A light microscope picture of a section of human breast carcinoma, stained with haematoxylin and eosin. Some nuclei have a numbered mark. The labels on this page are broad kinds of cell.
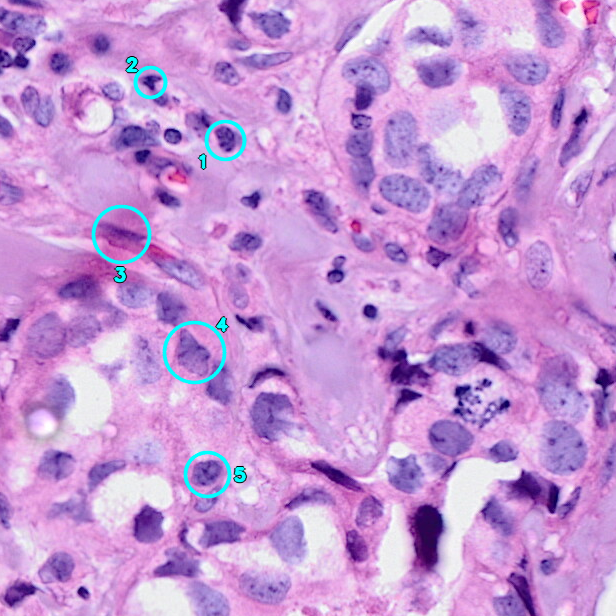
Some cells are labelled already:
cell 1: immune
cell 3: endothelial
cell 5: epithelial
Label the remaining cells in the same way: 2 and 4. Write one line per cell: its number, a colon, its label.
2: immune
4: epithelial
